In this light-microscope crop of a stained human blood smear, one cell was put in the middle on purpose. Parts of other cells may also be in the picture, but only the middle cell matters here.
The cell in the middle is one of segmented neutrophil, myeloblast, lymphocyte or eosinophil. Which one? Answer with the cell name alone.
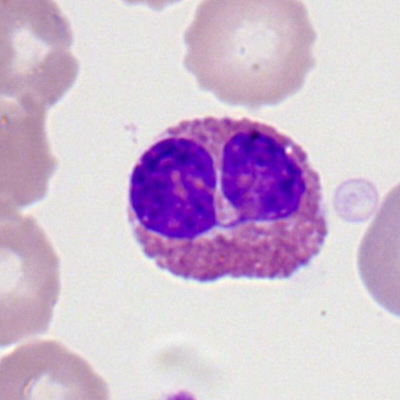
eosinophil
